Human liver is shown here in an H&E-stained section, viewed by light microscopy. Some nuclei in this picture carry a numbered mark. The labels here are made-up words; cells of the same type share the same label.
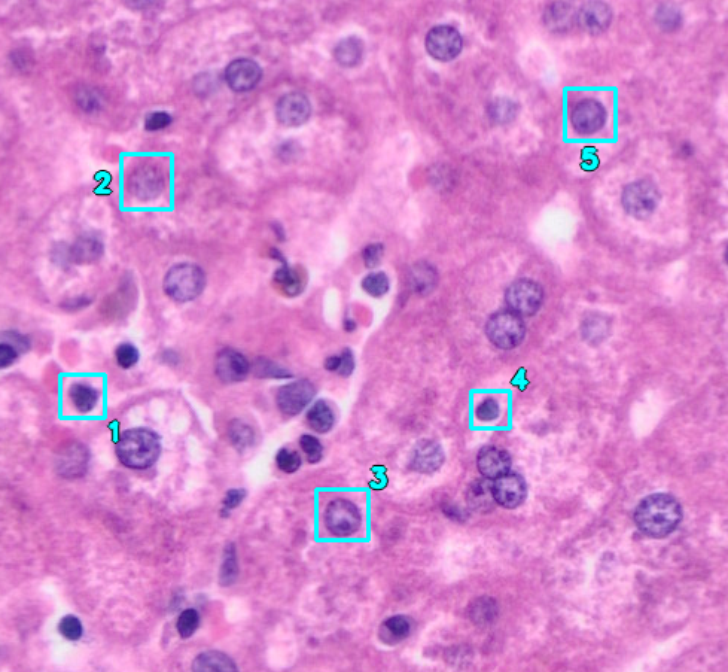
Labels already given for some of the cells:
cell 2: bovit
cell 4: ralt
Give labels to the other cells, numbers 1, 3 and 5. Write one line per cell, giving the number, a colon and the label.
1: ralt
3: bovit
5: bovit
